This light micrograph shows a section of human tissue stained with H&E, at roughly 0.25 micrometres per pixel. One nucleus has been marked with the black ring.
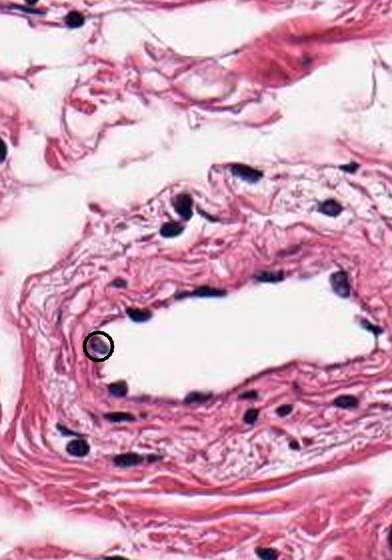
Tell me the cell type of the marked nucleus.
endothelial cell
